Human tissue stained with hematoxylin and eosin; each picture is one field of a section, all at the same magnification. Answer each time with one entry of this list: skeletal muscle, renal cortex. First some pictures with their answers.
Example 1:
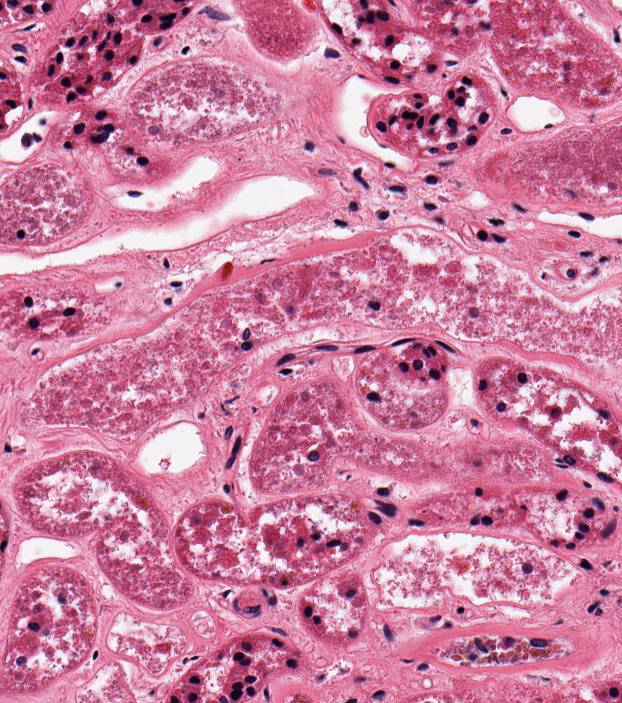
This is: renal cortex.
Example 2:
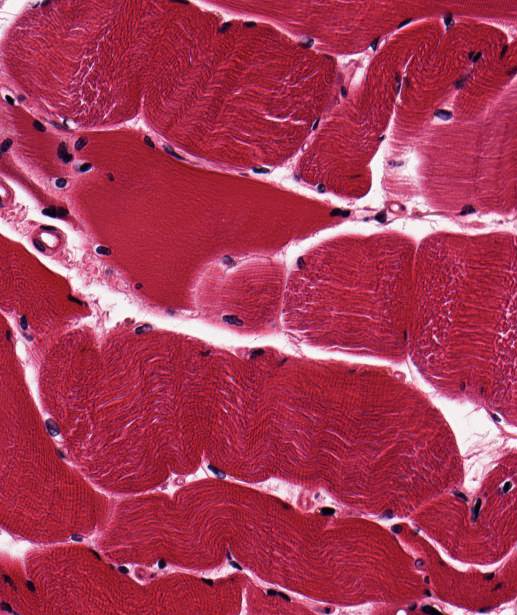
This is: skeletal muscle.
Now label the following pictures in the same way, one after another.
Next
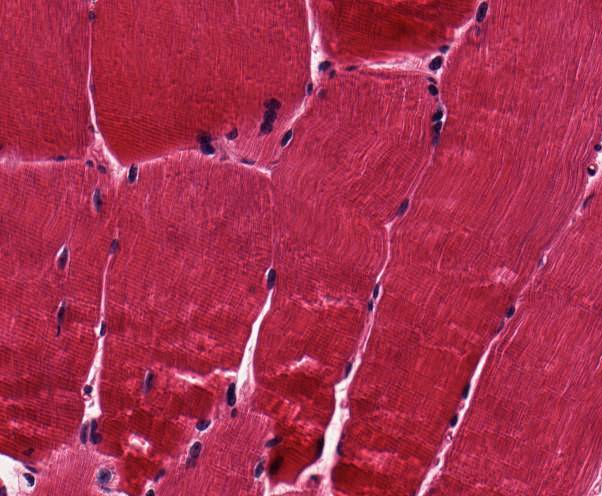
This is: skeletal muscle.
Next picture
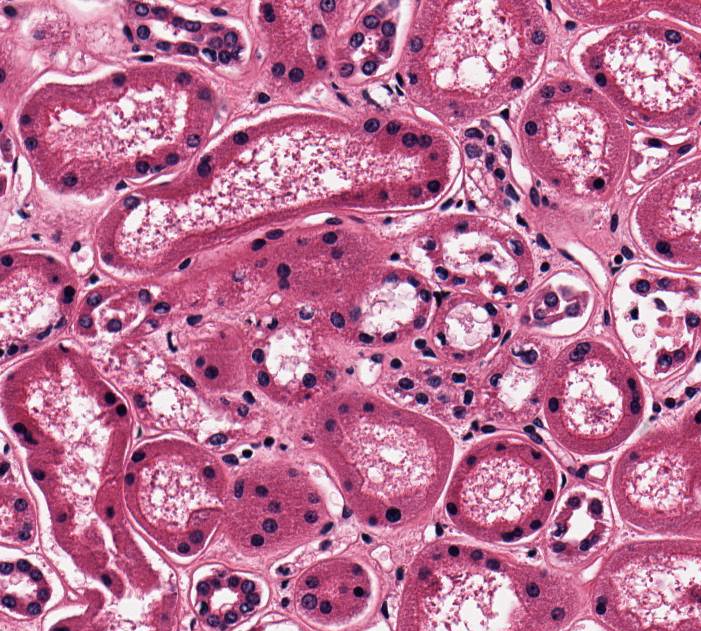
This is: renal cortex.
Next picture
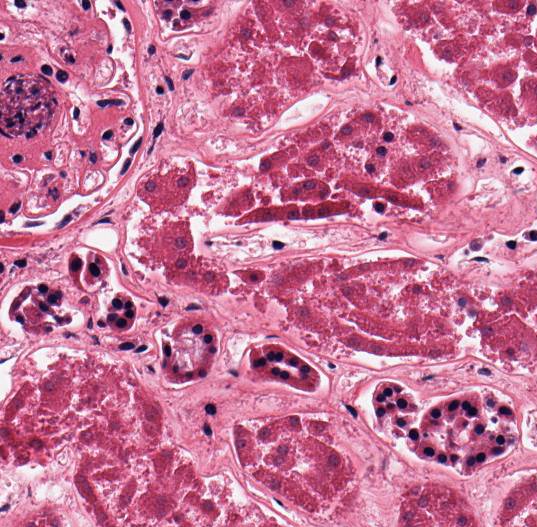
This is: renal cortex.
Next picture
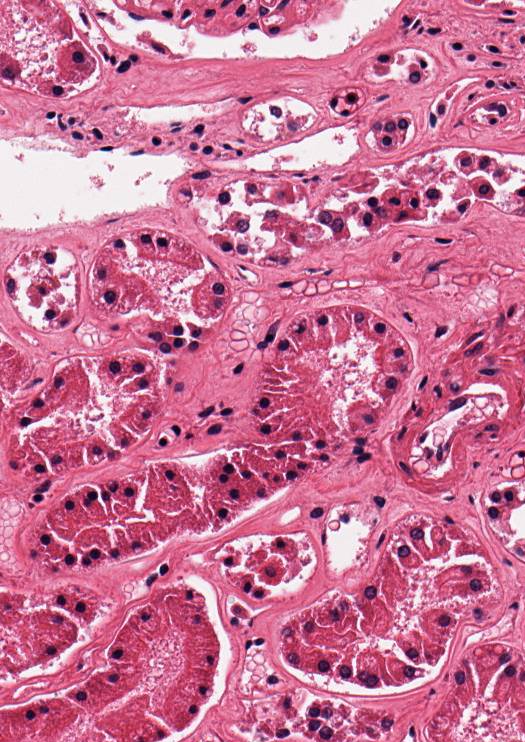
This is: renal cortex.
